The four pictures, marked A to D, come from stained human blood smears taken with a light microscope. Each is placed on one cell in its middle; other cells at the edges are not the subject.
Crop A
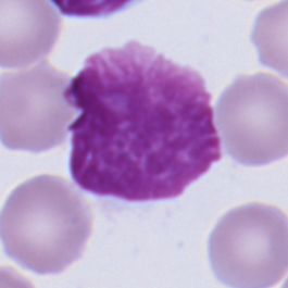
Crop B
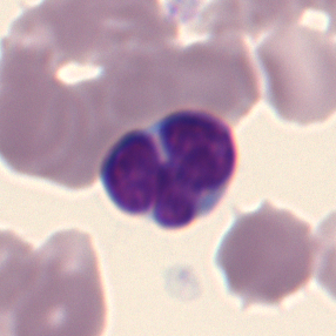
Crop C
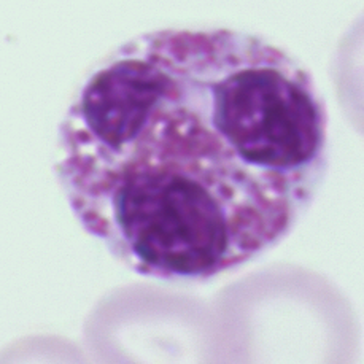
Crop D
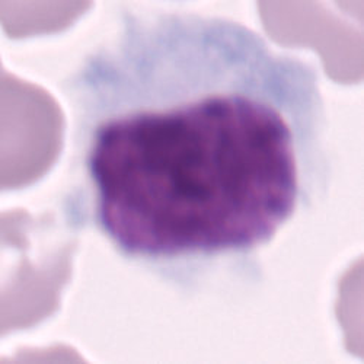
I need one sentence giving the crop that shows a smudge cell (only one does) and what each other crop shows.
Crop A is the one showing a smudge cell, whereas crop B is a typical lymphocyte, crop C is an eosinophil and crop D is a hairy cell.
